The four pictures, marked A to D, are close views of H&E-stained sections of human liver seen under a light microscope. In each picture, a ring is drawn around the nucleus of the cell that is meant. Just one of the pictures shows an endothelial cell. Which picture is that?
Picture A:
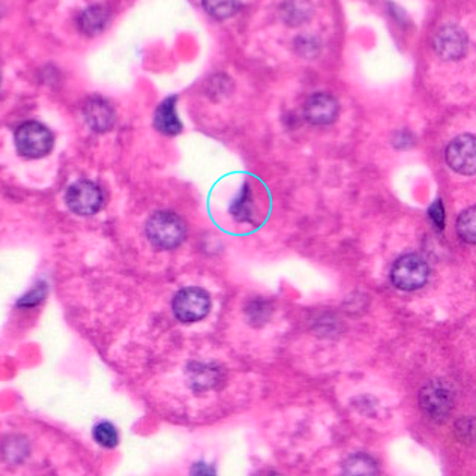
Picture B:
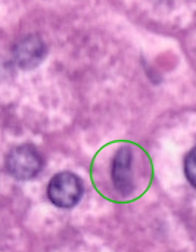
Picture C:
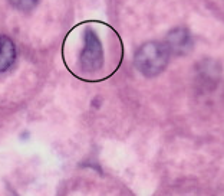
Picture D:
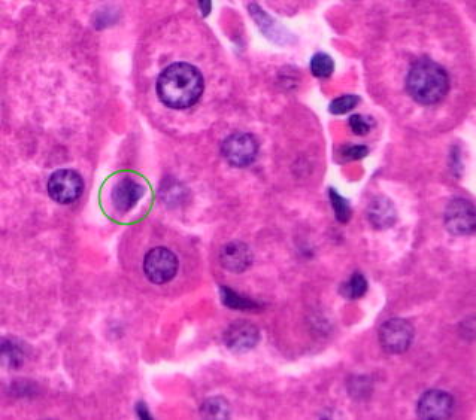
A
